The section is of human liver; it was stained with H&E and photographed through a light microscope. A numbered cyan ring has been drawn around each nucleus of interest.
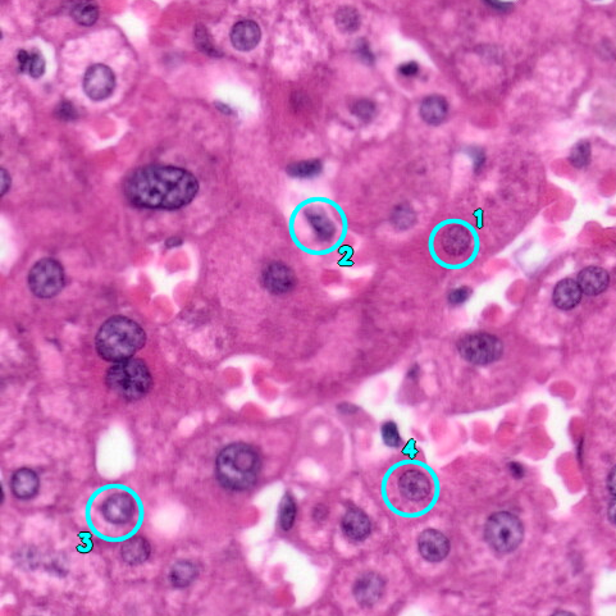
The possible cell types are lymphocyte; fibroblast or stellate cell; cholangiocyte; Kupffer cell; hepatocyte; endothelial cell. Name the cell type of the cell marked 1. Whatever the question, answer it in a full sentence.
The cell marked with number 1 is a hepatocyte.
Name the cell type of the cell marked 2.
Cell number 2 in this section is a Kupffer cell.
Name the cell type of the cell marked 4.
The cell that carries the label 4 is a hepatocyte.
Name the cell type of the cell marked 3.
The cell that goes by number 3 is a hepatocyte.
